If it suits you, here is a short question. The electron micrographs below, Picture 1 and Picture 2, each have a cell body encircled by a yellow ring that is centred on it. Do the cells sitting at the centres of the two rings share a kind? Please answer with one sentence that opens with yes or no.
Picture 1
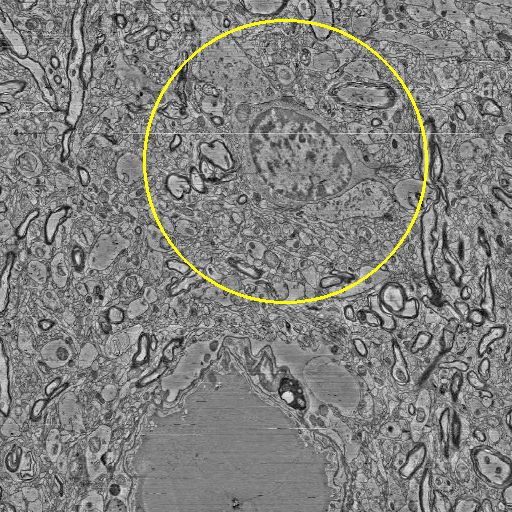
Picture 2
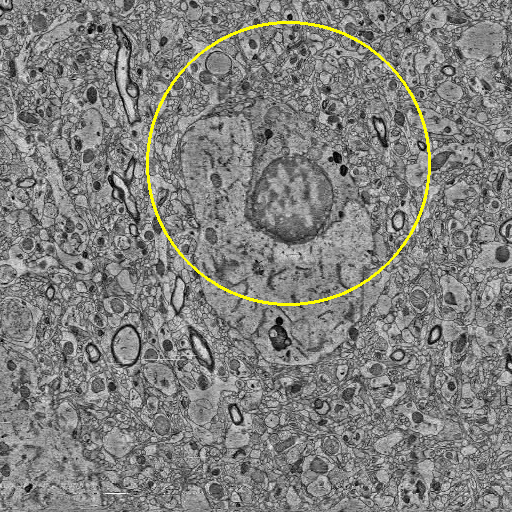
Yes, the two cells sitting at the ring centres share a single kind.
